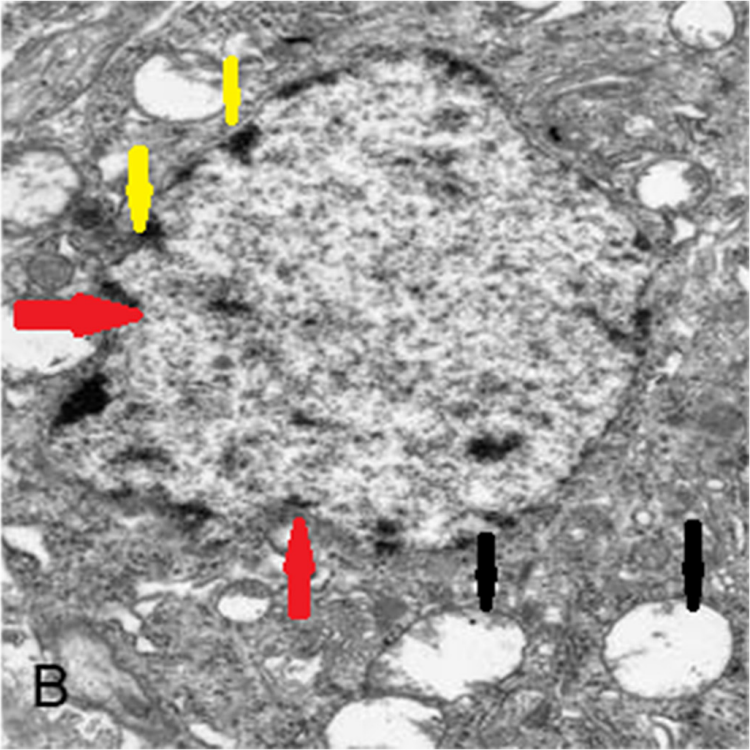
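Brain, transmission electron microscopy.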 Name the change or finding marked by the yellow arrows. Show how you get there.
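The yellow arrows point to dense dark clumps of chromatin. These clumps lie against the inner edge of the nuclear envelope.
Conclusion: chromatin margination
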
